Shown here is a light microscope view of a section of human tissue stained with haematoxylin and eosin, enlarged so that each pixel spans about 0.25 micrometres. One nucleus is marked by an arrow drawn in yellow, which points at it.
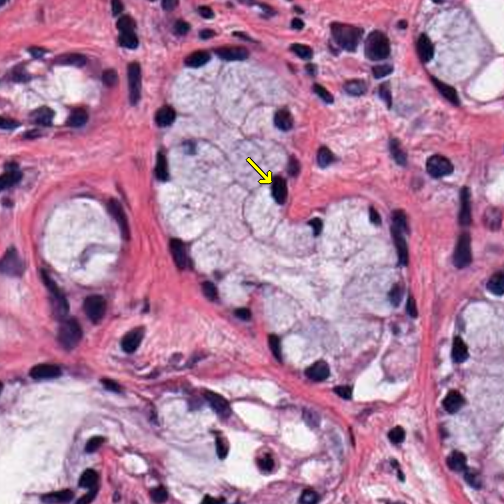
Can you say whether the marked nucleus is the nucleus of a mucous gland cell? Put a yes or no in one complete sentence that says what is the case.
Yes, it is a mucous gland cell to which the marked nucleus belongs.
